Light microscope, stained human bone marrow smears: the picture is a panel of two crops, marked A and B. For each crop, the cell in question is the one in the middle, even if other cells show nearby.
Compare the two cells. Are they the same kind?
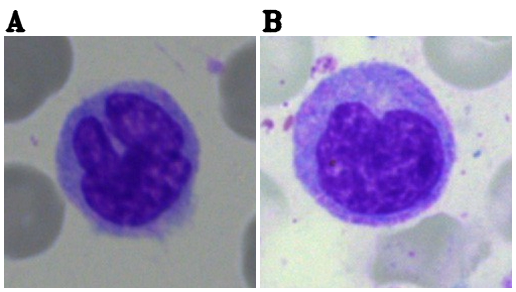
yes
